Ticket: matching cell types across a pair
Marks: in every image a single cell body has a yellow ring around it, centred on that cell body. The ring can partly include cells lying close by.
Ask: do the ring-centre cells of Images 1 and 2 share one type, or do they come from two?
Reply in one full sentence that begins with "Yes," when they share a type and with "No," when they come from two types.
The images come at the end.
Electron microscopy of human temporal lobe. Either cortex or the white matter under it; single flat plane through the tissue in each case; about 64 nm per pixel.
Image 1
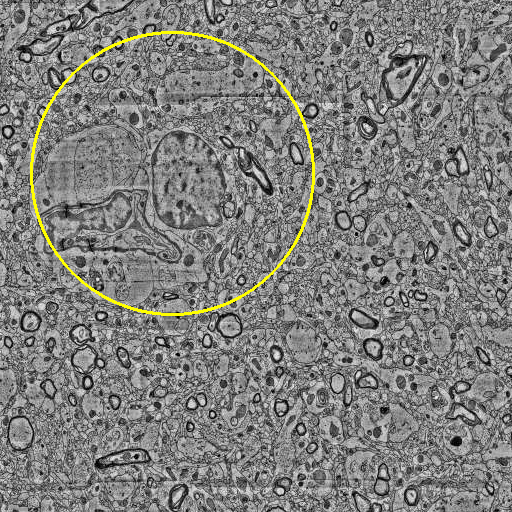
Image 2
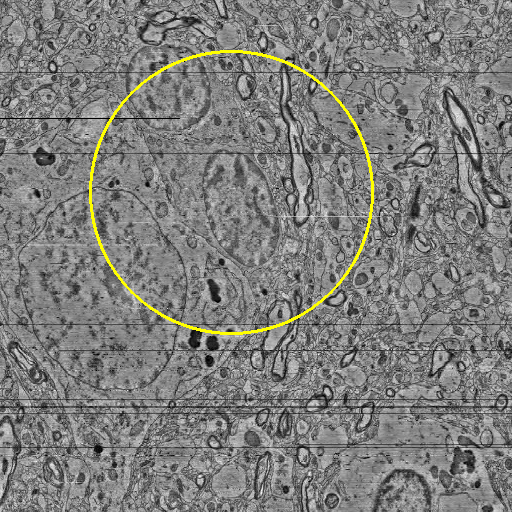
No, the cells in the centres of the rings in Image 1 and Image 2 come from two types.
